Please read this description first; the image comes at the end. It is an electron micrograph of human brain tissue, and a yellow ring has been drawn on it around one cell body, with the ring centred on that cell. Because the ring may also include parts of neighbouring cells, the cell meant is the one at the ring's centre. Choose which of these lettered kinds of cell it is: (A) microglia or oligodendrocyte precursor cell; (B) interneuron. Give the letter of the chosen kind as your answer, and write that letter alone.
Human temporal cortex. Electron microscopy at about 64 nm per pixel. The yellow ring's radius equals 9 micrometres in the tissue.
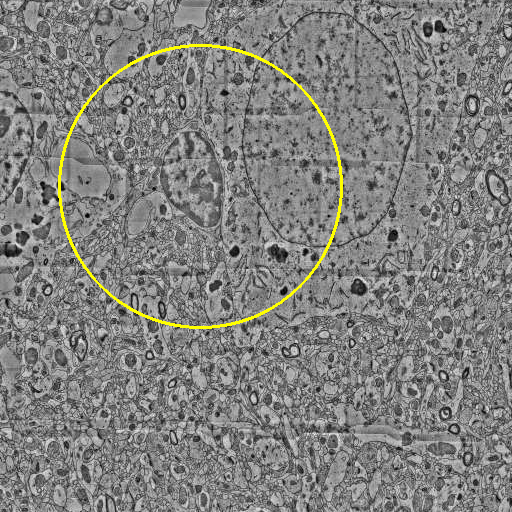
A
